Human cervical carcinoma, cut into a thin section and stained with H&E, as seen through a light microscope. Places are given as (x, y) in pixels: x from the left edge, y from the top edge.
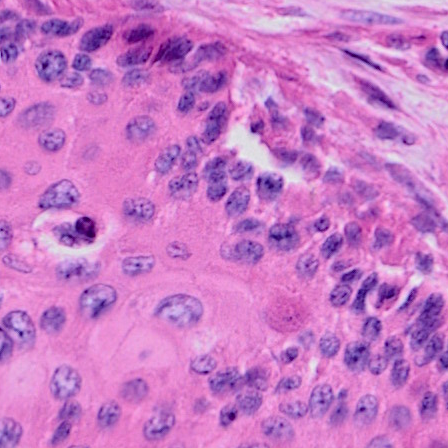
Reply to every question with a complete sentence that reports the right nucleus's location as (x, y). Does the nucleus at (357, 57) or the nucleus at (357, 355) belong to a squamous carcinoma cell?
The one belonging to a squamous carcinoma cell is the nucleus at (357, 355), not the other.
